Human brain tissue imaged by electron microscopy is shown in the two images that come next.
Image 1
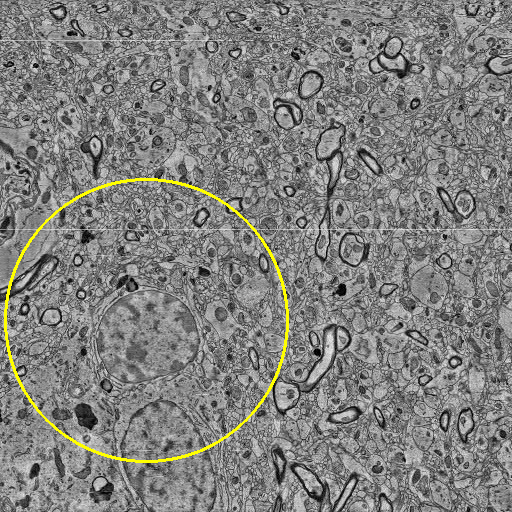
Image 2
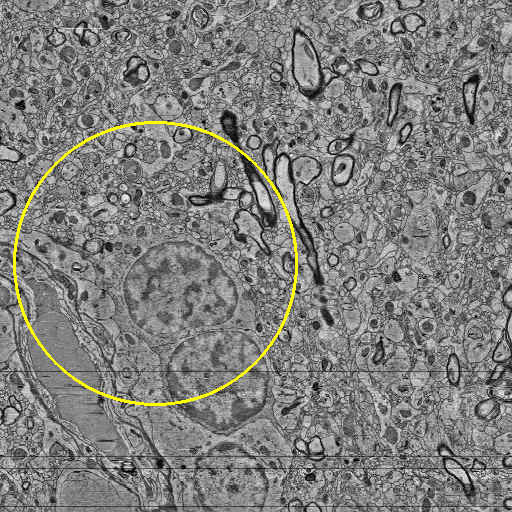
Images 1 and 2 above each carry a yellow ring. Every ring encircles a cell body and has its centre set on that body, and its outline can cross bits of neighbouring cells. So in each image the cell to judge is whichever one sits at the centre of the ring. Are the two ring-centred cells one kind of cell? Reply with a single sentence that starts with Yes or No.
No, in Image 1 and Image 2 the cells at the centres of their rings fall into two types.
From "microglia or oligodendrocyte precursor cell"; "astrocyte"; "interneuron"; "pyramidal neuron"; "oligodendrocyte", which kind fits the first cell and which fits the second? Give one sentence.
The cell marked in the first picture is a microglial cell or oligodendrocyte precursor cell, and the one marked in the second is an oligodendrocyte.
